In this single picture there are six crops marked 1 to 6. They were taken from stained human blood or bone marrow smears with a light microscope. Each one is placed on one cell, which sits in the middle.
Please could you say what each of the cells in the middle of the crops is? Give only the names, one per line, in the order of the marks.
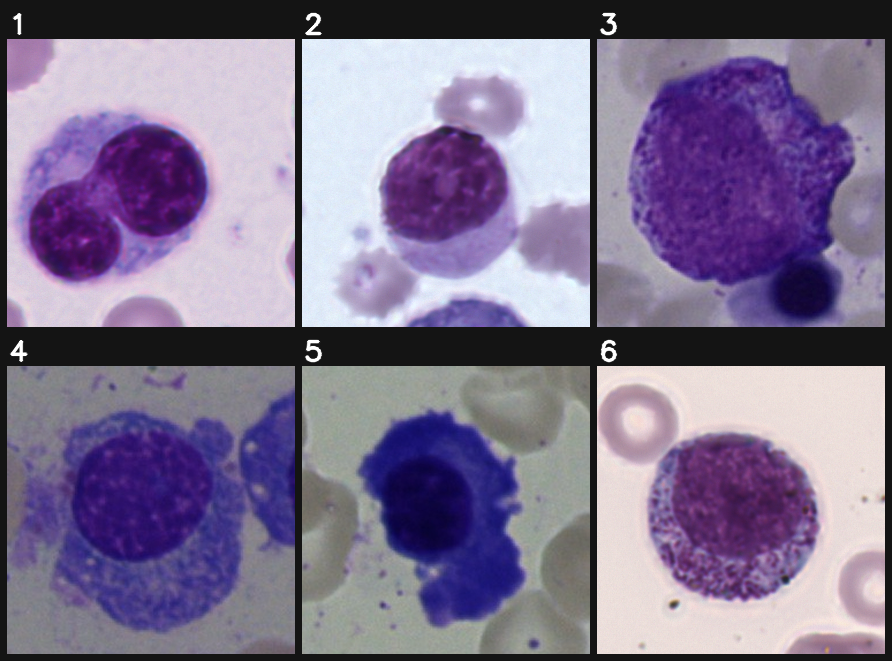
plasma cell
plasma cell
promyelocyte
plasma cell
plasma cell
promyelocyte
